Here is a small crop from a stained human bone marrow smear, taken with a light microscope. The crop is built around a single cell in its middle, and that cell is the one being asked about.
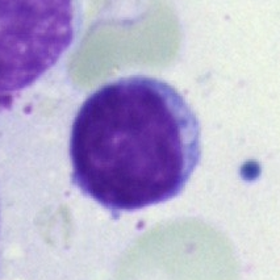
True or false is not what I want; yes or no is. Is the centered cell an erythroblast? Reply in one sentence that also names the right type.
No, the cell occupying the centre is a lymphocyte, not an erythroblast.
